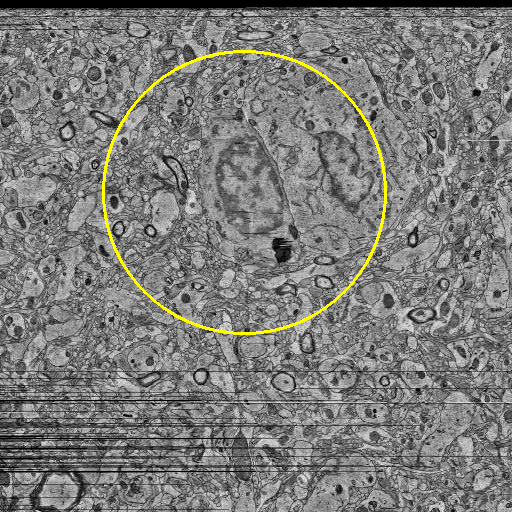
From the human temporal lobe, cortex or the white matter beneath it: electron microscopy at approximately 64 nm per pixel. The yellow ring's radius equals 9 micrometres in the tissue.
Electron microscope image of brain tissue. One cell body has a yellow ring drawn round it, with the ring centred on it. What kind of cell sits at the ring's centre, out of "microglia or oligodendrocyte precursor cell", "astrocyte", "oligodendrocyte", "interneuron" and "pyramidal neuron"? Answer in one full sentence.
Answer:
It is an oligodendrocyte whose cell body sits at the centre of the yellow ring.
